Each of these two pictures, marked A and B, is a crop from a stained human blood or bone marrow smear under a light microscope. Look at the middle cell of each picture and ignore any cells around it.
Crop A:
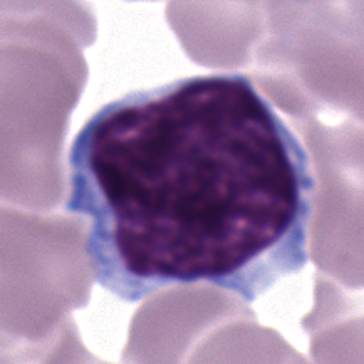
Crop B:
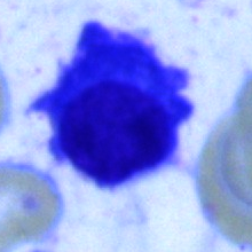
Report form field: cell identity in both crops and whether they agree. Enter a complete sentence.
No, a lymphocyte is what occupies crop A, and a plasma cell is what occupies crop B.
